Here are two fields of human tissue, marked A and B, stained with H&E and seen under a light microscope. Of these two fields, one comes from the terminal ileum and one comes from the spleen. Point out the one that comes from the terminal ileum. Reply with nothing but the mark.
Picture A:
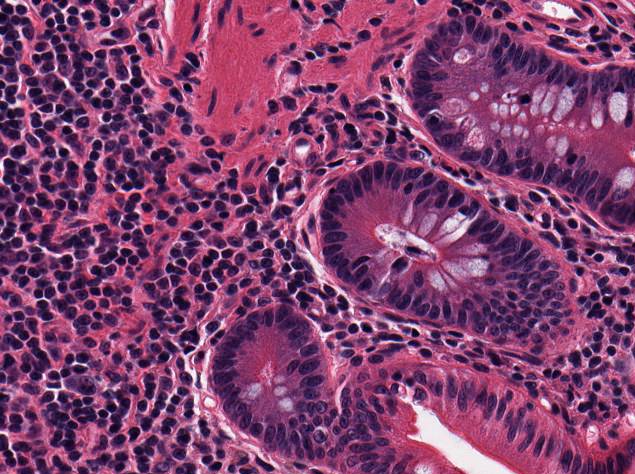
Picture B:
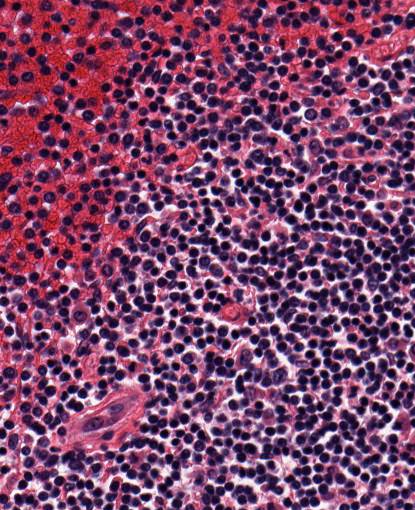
A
